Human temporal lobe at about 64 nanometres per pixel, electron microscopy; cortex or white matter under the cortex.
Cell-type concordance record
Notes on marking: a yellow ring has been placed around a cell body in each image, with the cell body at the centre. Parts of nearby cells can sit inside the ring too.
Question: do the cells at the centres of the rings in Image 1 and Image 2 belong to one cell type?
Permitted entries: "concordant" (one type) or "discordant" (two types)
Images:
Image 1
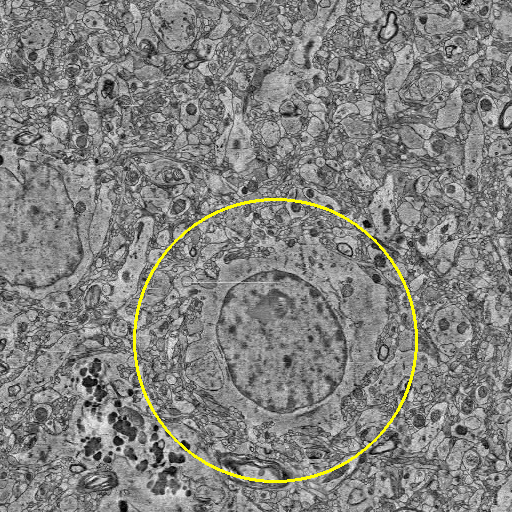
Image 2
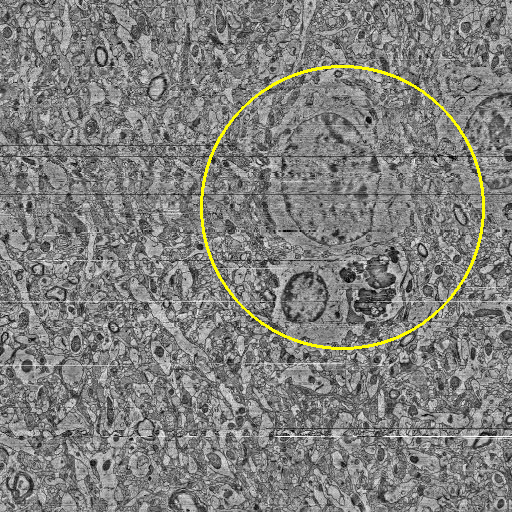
concordant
